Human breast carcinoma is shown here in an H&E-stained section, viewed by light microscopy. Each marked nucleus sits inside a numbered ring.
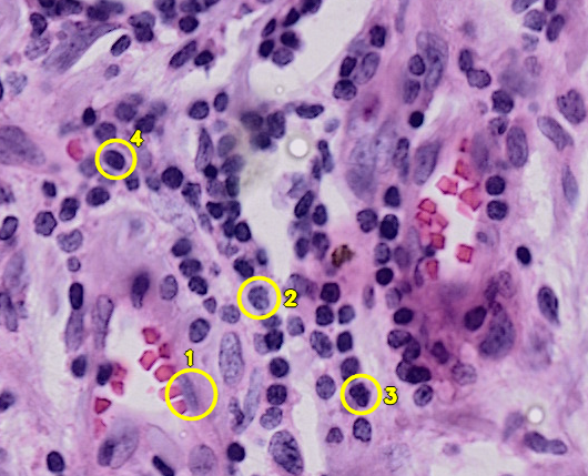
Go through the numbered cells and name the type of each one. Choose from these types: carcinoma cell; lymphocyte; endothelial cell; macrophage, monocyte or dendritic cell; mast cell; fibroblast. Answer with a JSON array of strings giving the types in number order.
["endothelial cell", "lymphocyte", "lymphocyte", "lymphocyte"]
